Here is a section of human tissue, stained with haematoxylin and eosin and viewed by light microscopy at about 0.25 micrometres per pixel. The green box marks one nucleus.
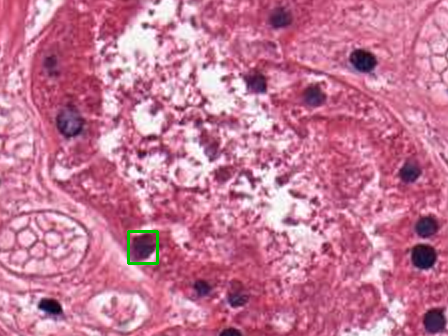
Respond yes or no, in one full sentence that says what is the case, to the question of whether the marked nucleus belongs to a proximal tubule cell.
Yes, in the picture the marked nucleus belongs to a proximal tubule cell.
